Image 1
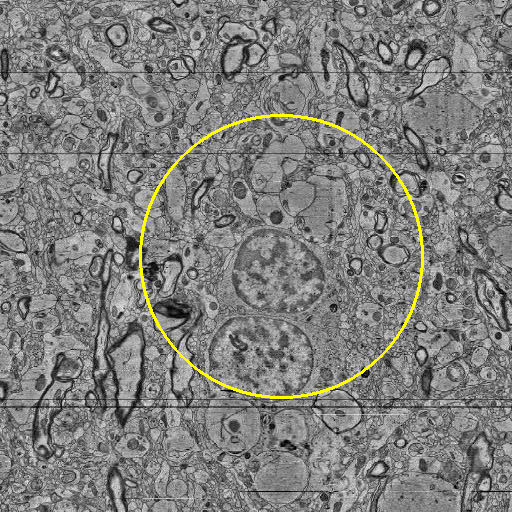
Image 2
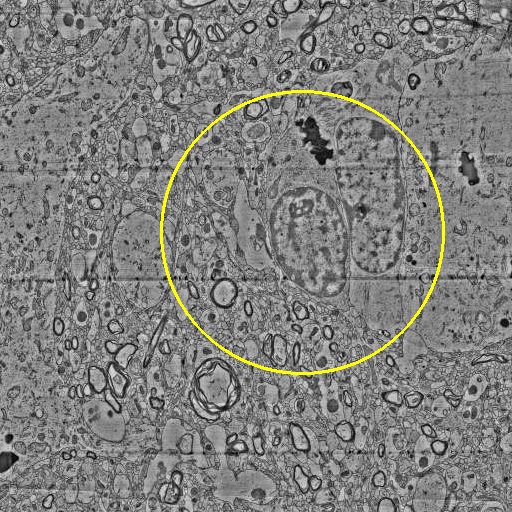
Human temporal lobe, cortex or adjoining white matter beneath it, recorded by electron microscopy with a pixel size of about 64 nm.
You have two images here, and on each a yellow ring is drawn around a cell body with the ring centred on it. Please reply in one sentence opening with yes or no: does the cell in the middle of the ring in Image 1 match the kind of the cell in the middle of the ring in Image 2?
Yes, the two images show cells of one kind at the centres of their rings.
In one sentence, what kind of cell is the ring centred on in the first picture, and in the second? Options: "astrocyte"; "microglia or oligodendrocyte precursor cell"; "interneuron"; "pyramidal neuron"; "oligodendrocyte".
Each of the two cells is an oligodendrocyte.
